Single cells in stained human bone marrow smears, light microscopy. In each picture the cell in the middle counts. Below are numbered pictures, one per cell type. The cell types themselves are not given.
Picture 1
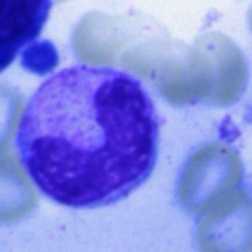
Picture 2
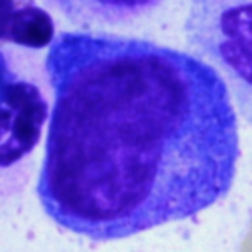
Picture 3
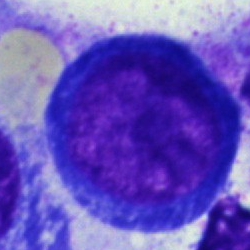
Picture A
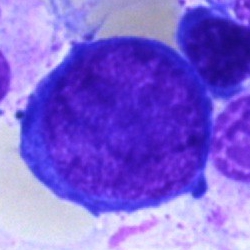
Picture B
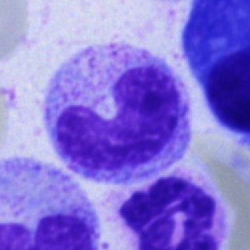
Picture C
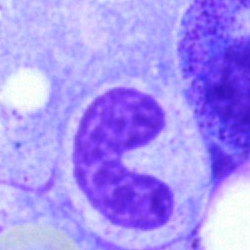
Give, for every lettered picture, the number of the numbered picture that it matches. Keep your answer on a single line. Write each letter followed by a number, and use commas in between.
A 3, B 1, C 1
